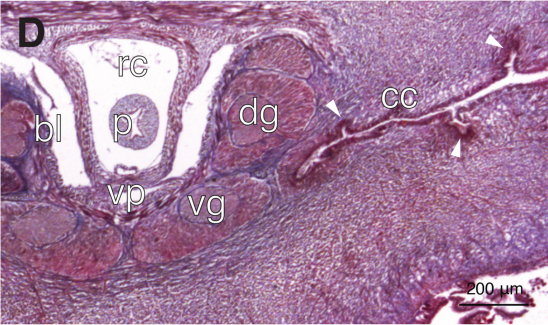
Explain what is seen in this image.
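A clear central cavity, the rhynchocoel, is lined by a thin layer and contains a small round proboscis. Beside it lie rounded, red-staining nerve ganglia: dorsal ganglia at its side and ventral ganglia below, joined across beneath the cavity. A clear blood lacuna lies next to the cavity on the left. On the right, a narrow ciliated canal runs from the body surface inward through bluish-purple fibrous tissue. Along this canal are small pouch-like pits, marked by white arrowheads.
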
